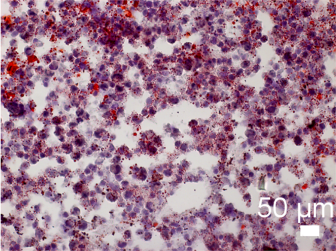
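The cells are rounded and lie singly or in small loose clusters separated by pale open spaces. Fine red-orange droplets dot the cytoplasm of the great majority of cells, with a few larger red patches. The cells do not form an organized tissue layer but a scattered spread of individual rounded cells.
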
